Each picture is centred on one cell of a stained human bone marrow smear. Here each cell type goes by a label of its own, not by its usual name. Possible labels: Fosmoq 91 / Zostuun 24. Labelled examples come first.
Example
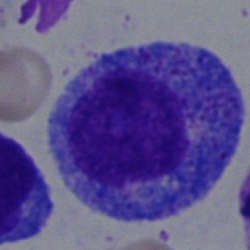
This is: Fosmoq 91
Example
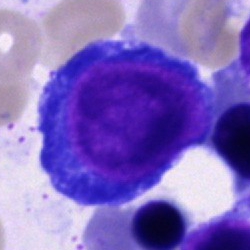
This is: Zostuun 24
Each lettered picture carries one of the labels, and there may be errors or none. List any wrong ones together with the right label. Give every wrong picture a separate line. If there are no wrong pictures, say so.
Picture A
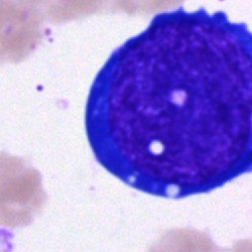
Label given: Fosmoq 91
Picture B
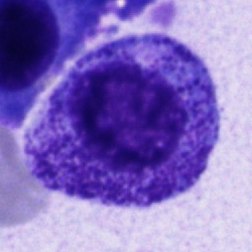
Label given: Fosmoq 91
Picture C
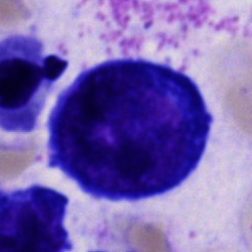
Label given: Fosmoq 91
Wrong: A (Fosmoq 91); correct: Zostuun 24
Wrong: C (Fosmoq 91); correct: Zostuun 24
